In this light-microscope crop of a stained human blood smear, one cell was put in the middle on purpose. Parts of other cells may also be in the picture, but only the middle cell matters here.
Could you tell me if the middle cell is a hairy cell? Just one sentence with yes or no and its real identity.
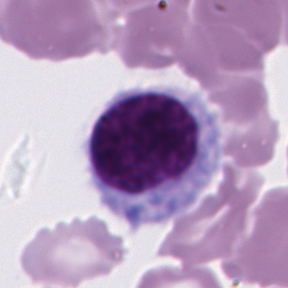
Yes, the cell in the central position is a hairy cell.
